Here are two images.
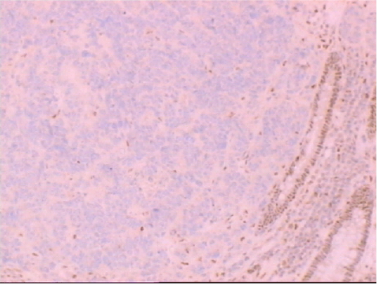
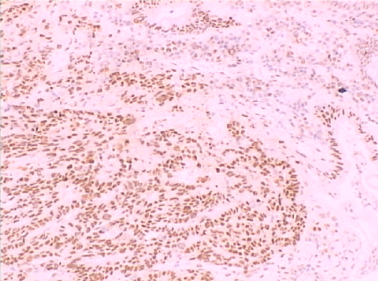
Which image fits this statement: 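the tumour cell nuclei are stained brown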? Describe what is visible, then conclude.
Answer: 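Second image: tumour nests show densely brown nuclei throughout.
Conclusion: the second image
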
